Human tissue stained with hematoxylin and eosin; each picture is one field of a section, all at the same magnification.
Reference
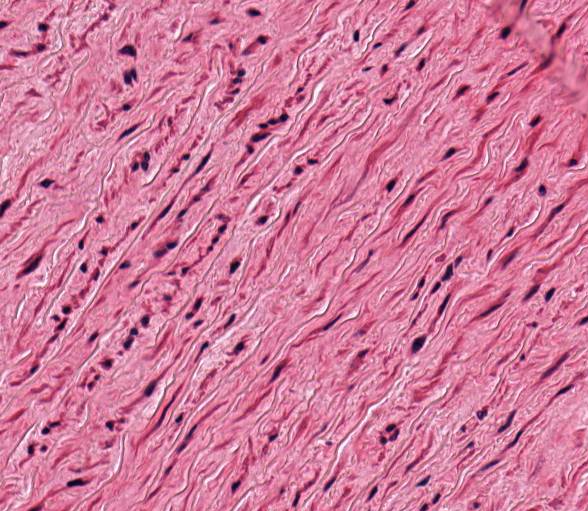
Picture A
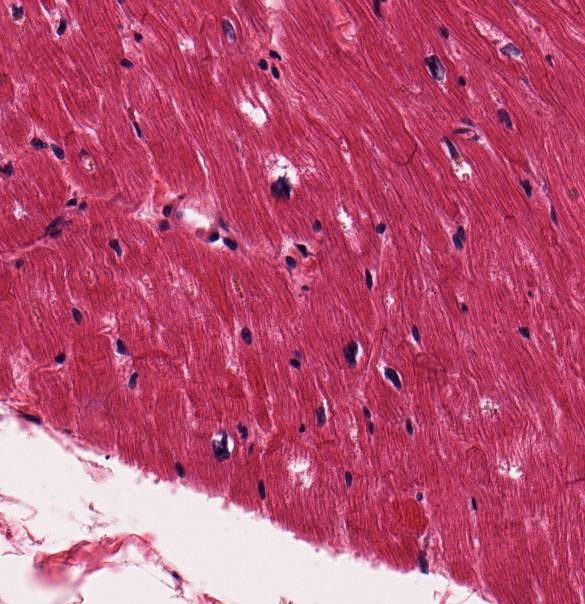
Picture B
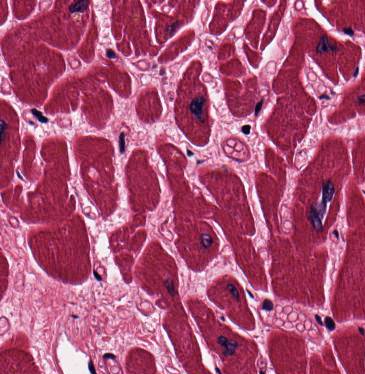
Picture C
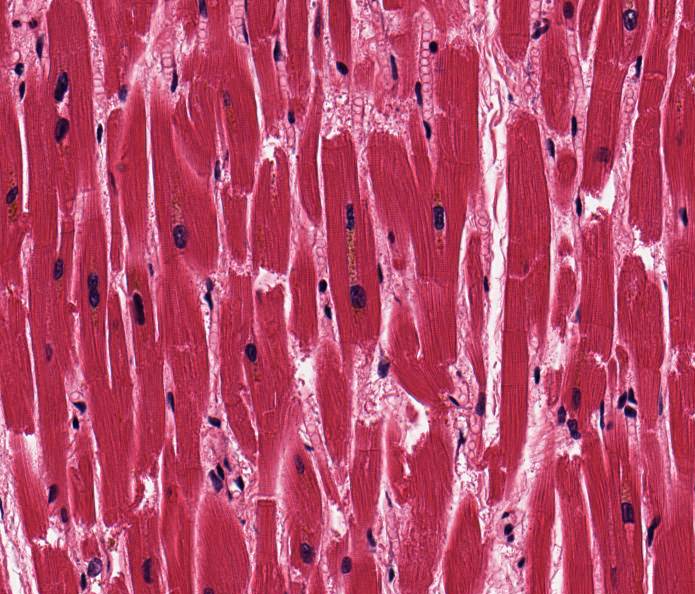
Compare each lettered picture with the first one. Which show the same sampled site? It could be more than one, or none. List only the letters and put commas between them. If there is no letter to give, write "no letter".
no letter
